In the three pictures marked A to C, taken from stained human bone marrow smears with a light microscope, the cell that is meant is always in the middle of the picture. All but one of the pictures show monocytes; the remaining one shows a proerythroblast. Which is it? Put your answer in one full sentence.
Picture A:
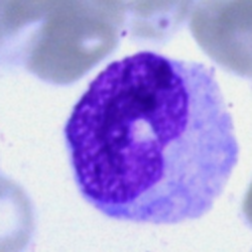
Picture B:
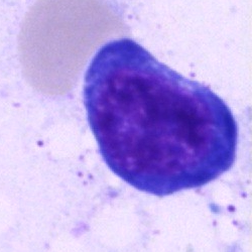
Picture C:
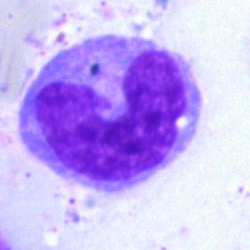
It is picture B that shows the proerythroblast.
